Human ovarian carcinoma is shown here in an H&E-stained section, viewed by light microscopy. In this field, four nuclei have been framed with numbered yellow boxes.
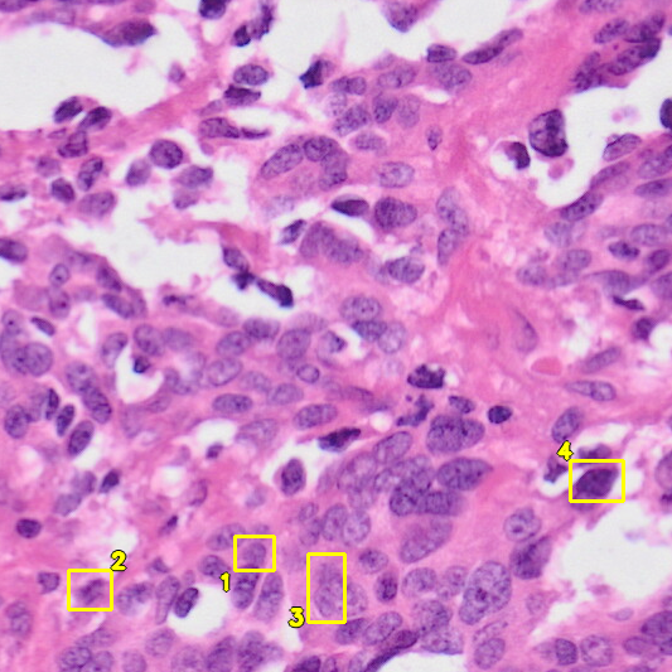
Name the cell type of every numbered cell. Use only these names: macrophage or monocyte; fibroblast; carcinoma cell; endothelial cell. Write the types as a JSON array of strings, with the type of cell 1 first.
["carcinoma cell", "macrophage or monocyte", "carcinoma cell", "carcinoma cell"]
